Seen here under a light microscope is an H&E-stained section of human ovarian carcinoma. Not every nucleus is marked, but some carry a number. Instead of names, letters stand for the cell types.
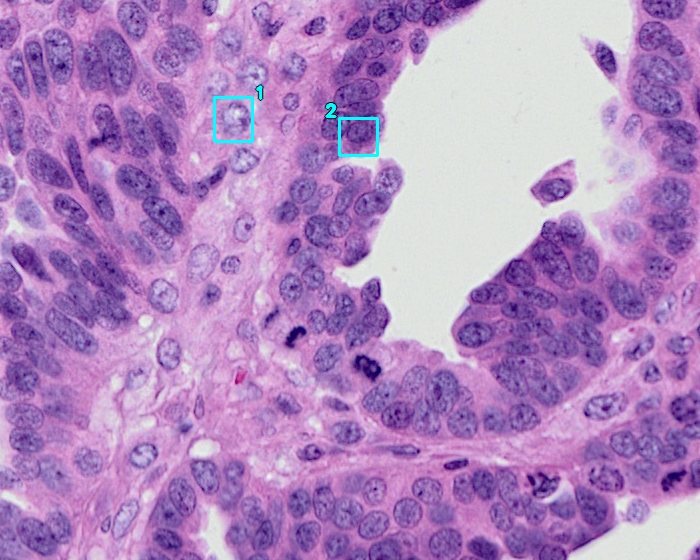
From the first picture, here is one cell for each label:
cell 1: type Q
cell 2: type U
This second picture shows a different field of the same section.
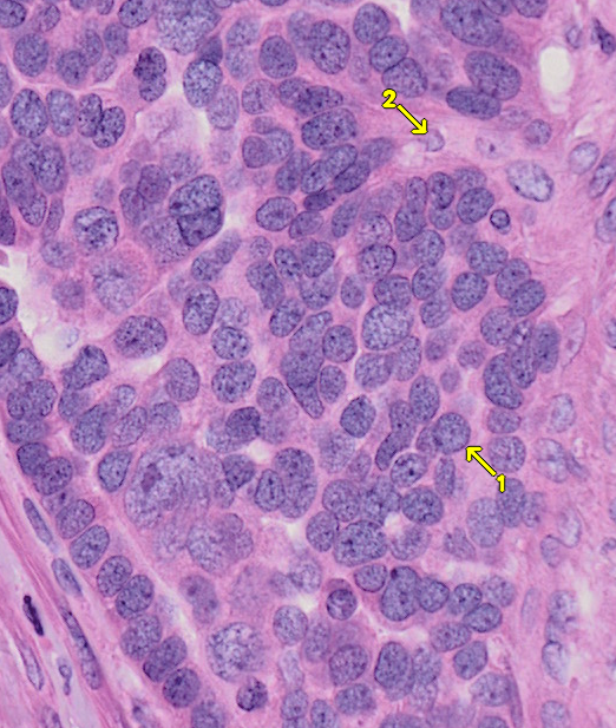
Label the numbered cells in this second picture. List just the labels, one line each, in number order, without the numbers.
type U
type Q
